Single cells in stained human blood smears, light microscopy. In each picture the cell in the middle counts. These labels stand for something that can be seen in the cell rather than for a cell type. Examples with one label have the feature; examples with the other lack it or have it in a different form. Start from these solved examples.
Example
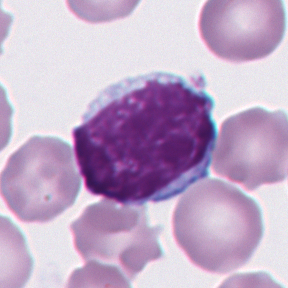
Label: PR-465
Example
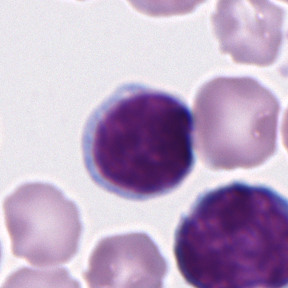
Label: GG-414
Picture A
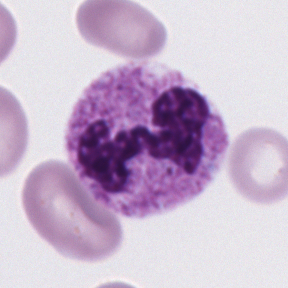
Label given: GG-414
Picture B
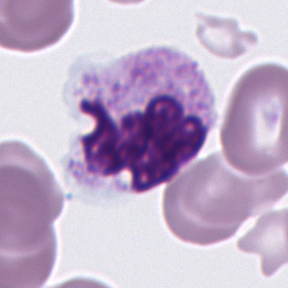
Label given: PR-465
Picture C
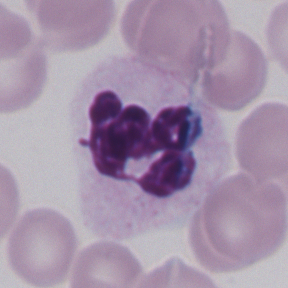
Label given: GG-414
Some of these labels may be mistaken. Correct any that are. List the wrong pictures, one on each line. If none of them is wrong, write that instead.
None of the labels needs changing.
